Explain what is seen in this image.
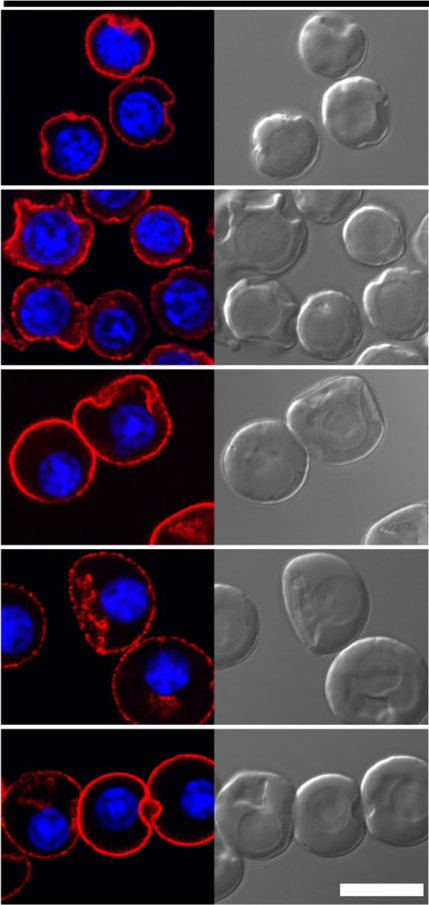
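The cells are round to slightly irregular, each with a single compact blue nucleus, often placed off-centre, and a wider rim of cytoplasm than a nucleus-filled cell would have. In most cells the red signal forms a sharp thin line along the plasma membrane around the whole cell. In some cells a few red dots or patches also lie in the cytoplasm near the nucleus. In the brightfield images some cells show a cupped or indented outline.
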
